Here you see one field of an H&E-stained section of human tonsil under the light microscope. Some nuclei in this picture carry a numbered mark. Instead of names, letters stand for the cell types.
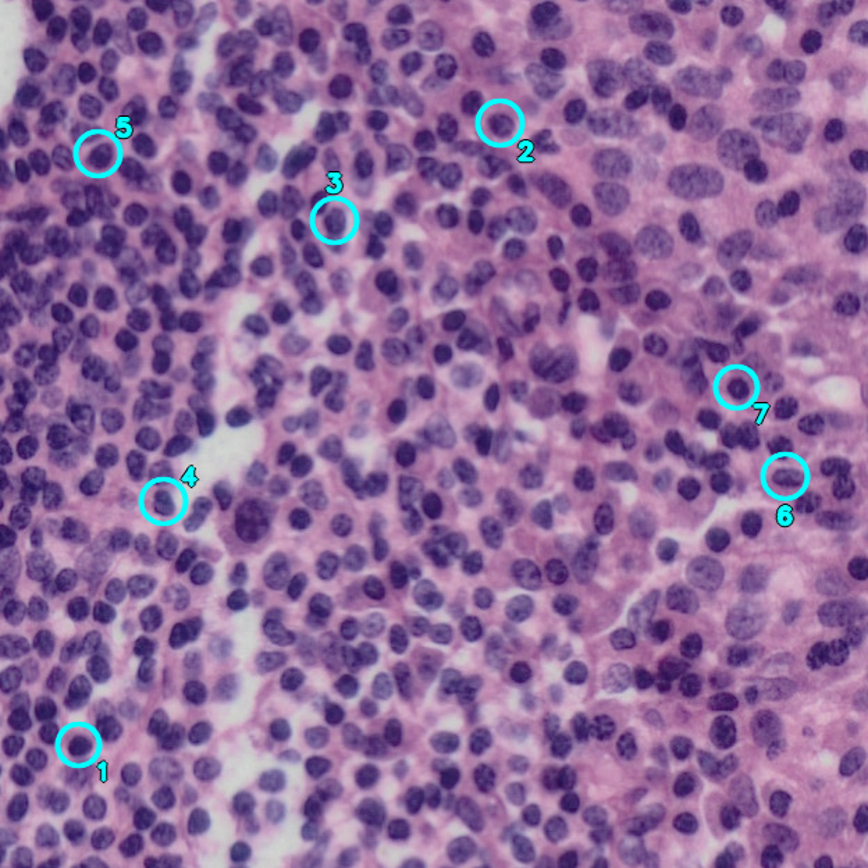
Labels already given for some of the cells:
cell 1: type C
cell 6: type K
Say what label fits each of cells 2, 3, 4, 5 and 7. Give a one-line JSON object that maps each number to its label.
{"2": "type K", "3": "type C", "4": "type C", "5": "type C", "7": "type K"}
